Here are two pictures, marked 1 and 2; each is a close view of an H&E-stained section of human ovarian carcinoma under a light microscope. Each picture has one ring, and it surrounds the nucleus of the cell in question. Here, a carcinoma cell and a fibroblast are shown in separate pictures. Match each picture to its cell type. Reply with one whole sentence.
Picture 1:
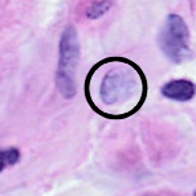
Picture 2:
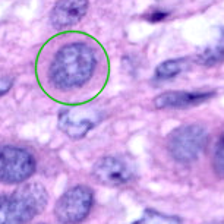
Picture 1 shows a fibroblast and picture 2 shows a carcinoma cell.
